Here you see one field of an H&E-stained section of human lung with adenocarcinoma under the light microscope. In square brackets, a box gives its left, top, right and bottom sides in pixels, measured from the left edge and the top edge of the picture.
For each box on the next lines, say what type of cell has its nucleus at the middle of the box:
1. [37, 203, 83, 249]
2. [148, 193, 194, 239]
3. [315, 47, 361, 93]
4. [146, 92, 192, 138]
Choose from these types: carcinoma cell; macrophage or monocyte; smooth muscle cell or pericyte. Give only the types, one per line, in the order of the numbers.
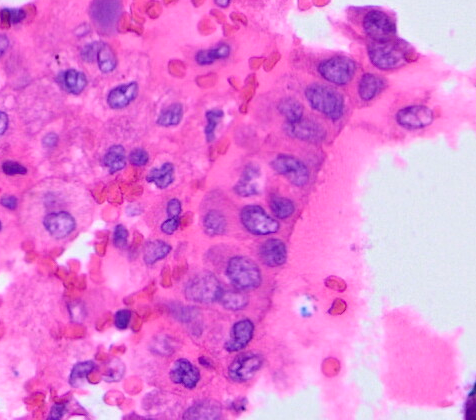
macrophage or monocyte
macrophage or monocyte
carcinoma cell
macrophage or monocyte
